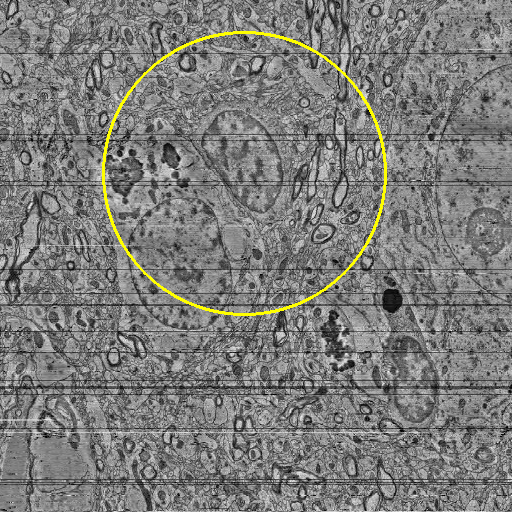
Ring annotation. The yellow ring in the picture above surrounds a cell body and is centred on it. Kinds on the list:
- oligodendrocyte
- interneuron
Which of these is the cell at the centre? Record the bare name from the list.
oligodendrocyte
